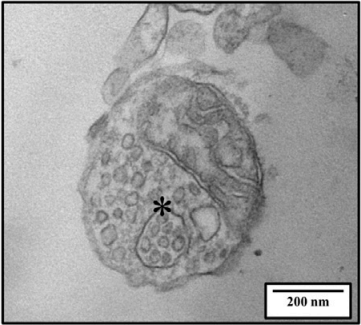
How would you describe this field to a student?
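This is a single isolated synaptosome, a pinched-off nerve terminal, seen in thin section. It is a rounded, membrane-bound particle filled with many small, clear, round vesicles of fairly uniform size. Toward one side lies a mitochondrion, recognisable by its double membrane and inner folds. Fragments of other membranes and particles lie at the top edge of the field, outside the terminal.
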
